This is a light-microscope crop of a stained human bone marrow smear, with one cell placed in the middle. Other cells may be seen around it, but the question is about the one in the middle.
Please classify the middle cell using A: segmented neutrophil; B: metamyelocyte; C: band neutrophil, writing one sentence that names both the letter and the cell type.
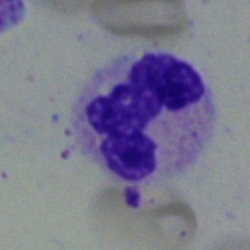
The correct option, A, names the middle cell as a segmented neutrophil.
